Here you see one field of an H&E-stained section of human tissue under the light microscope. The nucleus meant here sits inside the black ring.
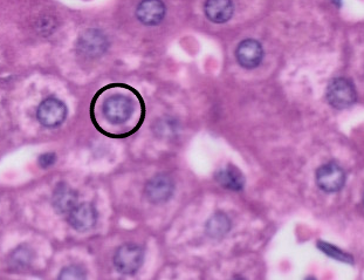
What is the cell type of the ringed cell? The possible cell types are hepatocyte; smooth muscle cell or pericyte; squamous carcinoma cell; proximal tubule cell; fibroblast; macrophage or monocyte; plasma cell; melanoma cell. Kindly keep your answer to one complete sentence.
With respect to cell type, the ringed cell is a hepatocyte.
